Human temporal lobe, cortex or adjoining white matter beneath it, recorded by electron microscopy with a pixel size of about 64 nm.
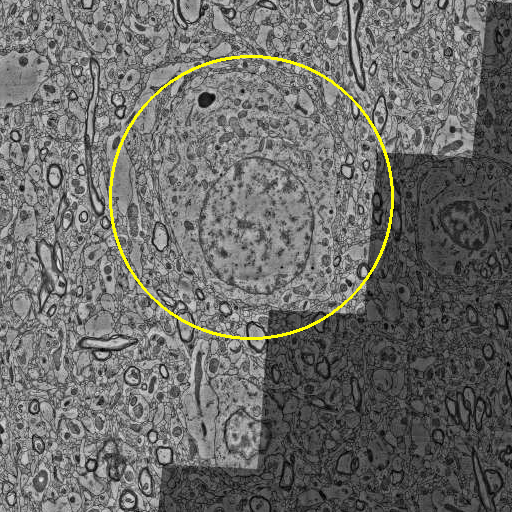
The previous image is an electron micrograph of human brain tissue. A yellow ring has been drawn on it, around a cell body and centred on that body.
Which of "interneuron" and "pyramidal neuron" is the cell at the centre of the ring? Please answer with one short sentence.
The cell body at the centre of the ring belongs to an interneuron.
